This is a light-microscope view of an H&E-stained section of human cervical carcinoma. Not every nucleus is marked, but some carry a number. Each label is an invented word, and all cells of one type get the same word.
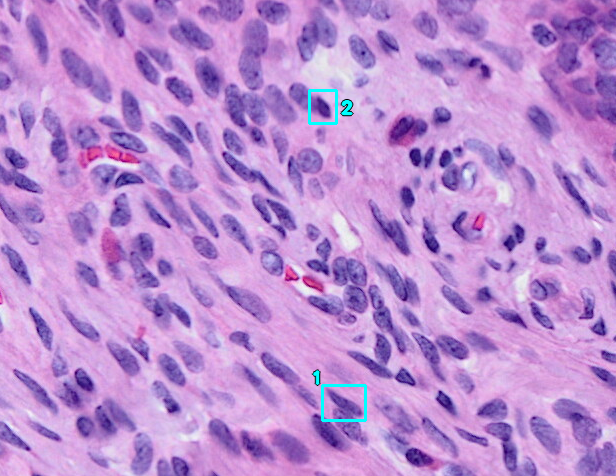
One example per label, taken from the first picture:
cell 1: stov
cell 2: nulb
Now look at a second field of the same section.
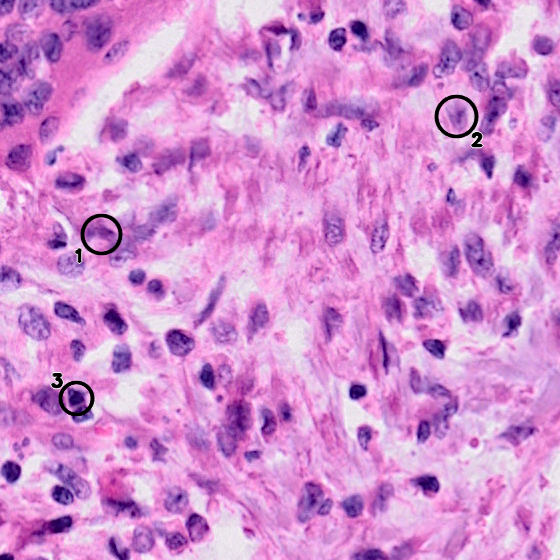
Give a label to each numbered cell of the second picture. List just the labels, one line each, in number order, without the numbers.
stov
stov
nulb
